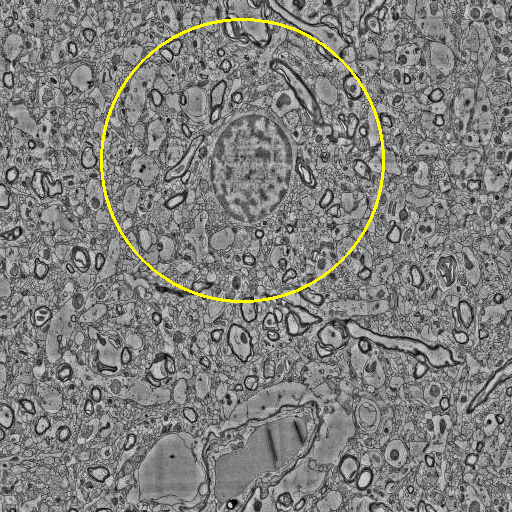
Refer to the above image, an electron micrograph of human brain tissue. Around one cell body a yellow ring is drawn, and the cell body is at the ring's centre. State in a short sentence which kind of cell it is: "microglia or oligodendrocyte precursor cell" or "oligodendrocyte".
The centre of the ring falls on an oligodendrocyte.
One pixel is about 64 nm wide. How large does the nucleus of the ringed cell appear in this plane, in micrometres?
Roughly 7 by 5 micrometres is the size of the nucleus in this plane.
